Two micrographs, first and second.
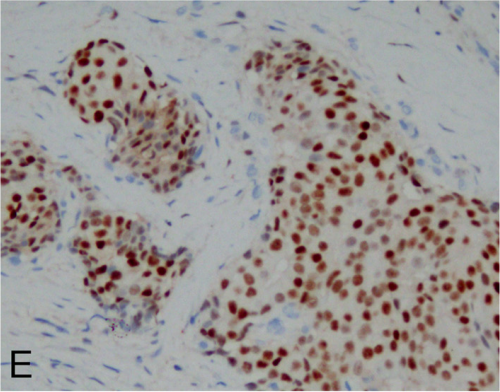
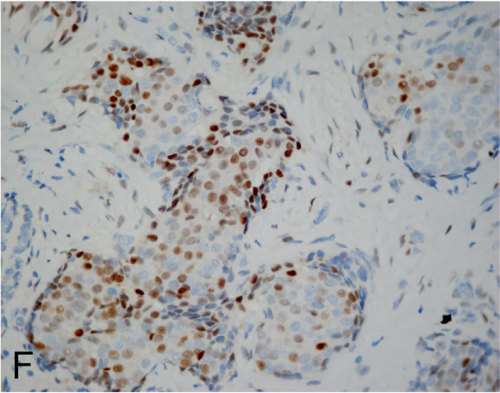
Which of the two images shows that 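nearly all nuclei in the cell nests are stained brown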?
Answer: The first image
